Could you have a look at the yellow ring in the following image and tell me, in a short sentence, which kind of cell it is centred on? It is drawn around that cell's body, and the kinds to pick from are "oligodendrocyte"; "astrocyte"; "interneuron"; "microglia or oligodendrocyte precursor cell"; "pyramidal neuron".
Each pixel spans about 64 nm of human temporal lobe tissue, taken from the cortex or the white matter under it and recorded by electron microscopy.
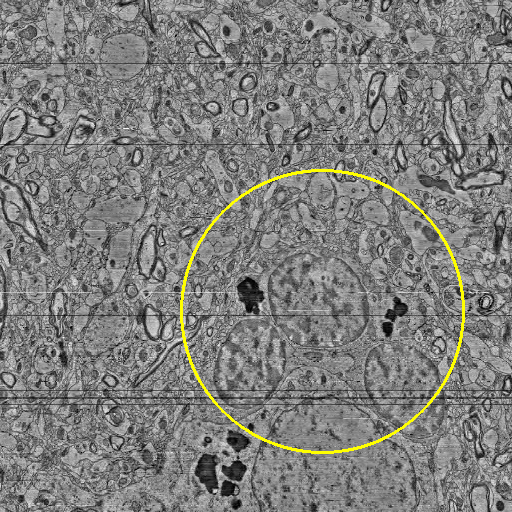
The ring is centred on the body of an oligodendrocyte.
